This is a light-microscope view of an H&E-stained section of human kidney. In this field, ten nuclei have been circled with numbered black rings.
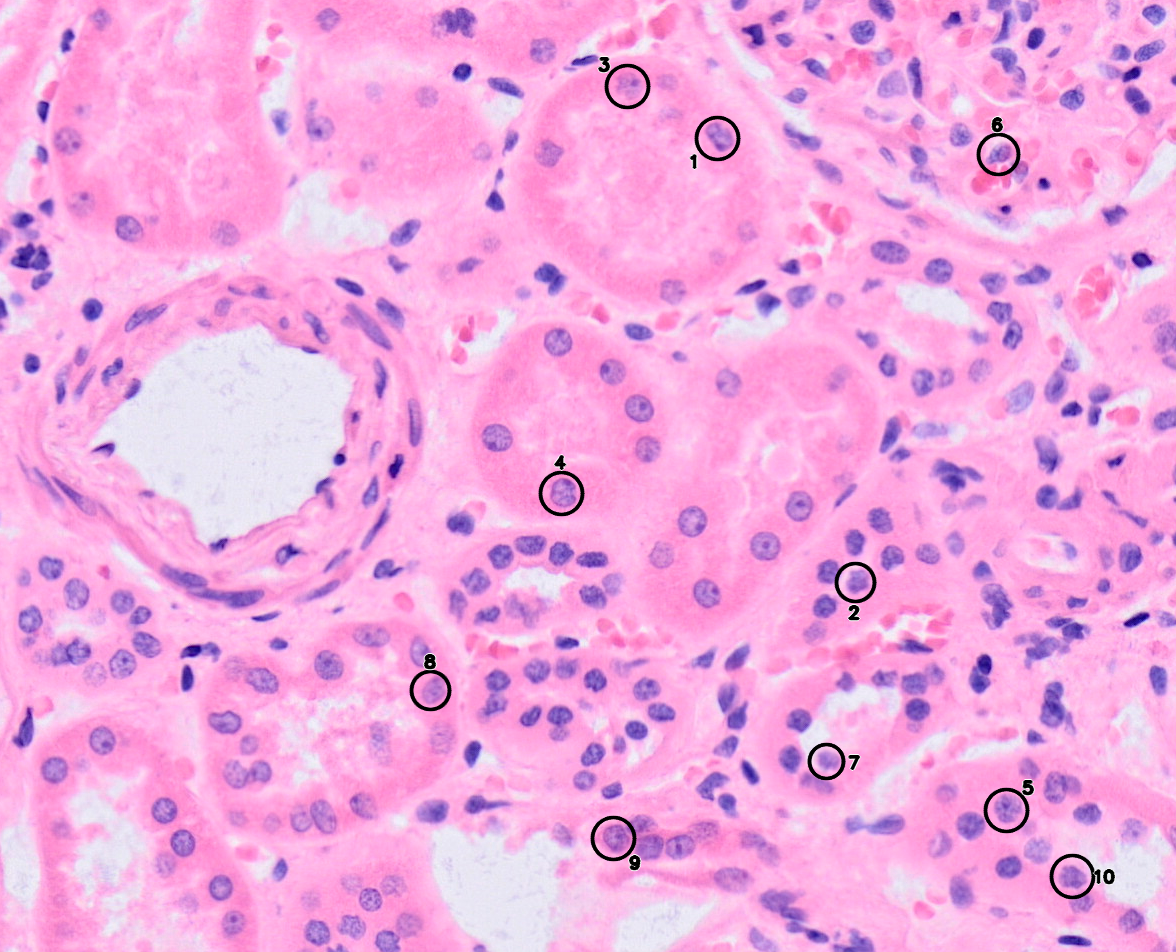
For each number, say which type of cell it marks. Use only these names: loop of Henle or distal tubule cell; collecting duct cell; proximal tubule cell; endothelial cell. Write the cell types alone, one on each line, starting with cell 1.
proximal tubule cell
loop of Henle or distal tubule cell
proximal tubule cell
proximal tubule cell
loop of Henle or distal tubule cell
endothelial cell
loop of Henle or distal tubule cell
proximal tubule cell
proximal tubule cell
loop of Henle or distal tubule cell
